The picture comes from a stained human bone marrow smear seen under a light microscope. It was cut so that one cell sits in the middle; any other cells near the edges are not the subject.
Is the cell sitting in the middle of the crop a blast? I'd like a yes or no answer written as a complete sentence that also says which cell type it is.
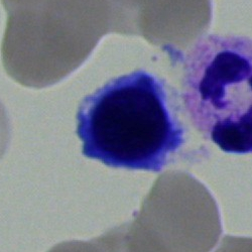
No, the central cell is properly termed a normoblast, not a blast.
